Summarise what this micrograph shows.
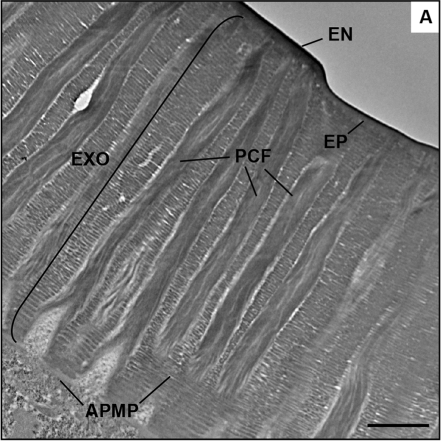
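A thick layered cuticle fills the section, its surface capped by a thin dark envelope lying on a slightly paler epicuticle. Beneath, the exocuticle is built of many fine horizontal laminae stacked in regular order. Long, dense, slightly wavy pore canal fibers run vertically through this stack from the base toward the surface. At the bottom, paler rounded apical plasma membrane protrusions of the underlying epidermal cells reach up into the base of the fibers.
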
